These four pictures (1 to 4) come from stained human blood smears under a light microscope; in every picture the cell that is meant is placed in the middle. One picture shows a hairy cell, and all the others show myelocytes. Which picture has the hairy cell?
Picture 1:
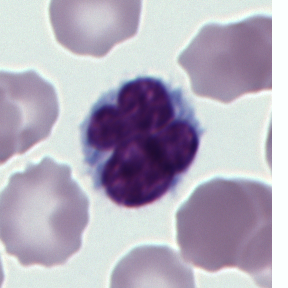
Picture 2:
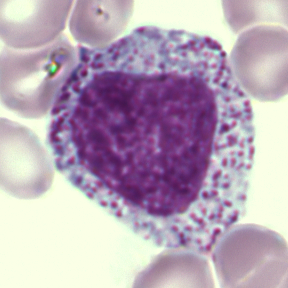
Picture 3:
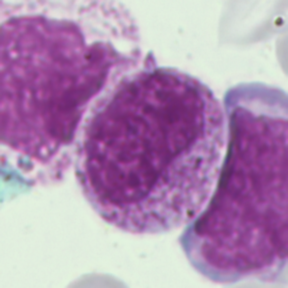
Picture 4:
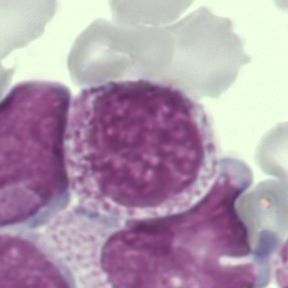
1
